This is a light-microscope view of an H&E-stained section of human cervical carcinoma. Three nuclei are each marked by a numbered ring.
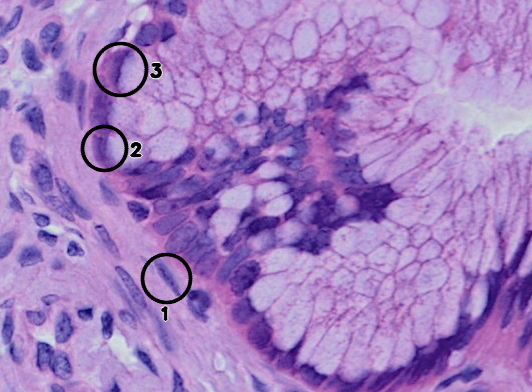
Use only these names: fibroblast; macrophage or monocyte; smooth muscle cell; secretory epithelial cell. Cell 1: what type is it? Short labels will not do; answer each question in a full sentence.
Cell 1 is classified as a fibroblast.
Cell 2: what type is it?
The marked cell with the number 2 is recognised as a secretory epithelial cell.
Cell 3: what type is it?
In the tissue shown, cell 3 is a secretory epithelial cell.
